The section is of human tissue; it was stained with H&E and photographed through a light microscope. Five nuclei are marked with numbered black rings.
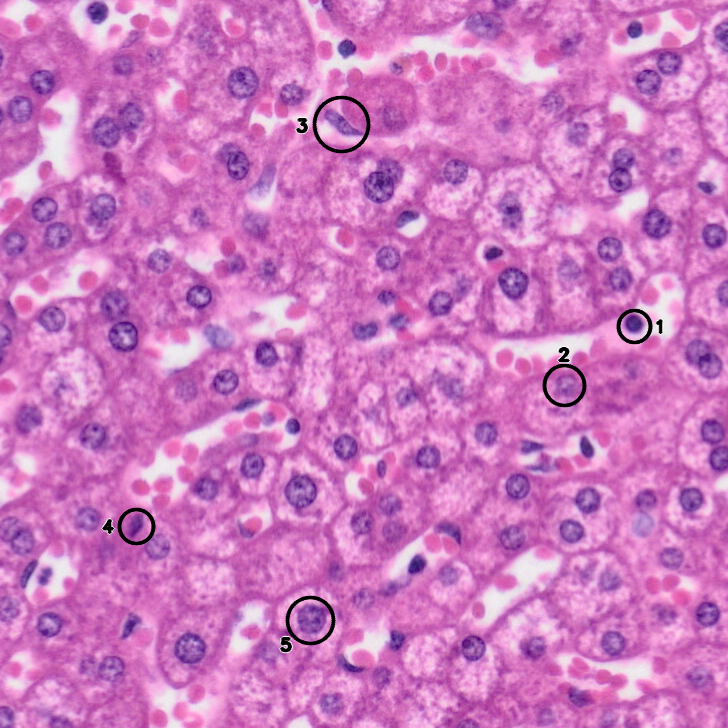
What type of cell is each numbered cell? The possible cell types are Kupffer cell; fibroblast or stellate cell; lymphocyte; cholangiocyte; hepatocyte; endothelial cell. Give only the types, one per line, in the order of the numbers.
lymphocyte
hepatocyte
Kupffer cell
fibroblast or stellate cell
hepatocyte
